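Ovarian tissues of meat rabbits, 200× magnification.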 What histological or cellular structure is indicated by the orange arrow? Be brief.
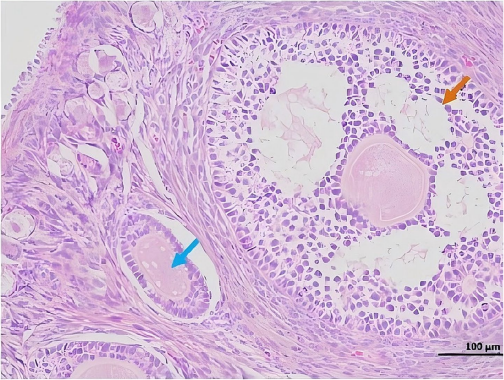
secondary follicles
